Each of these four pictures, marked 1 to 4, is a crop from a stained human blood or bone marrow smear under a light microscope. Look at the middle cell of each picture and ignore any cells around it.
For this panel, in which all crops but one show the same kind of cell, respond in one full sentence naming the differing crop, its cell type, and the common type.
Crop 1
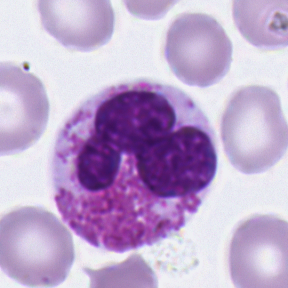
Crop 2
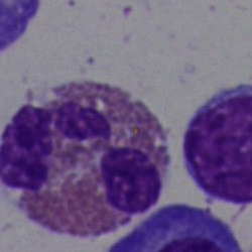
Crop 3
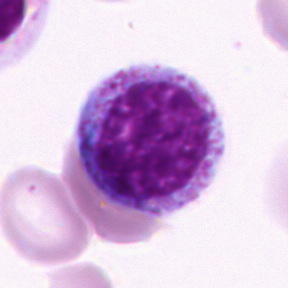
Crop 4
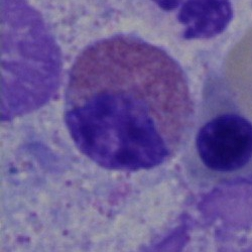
All the crops show eosinophils except crop 3, which shows a metamyelocyte.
